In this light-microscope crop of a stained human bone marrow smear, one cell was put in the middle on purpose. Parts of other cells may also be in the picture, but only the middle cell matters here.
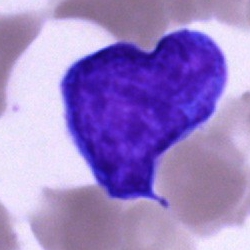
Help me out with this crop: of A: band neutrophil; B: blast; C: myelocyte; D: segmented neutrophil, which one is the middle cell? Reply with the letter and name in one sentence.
The central cell, a blast, is correctly identified by option B.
